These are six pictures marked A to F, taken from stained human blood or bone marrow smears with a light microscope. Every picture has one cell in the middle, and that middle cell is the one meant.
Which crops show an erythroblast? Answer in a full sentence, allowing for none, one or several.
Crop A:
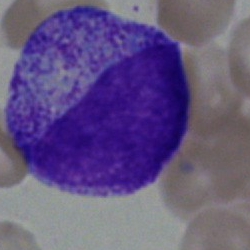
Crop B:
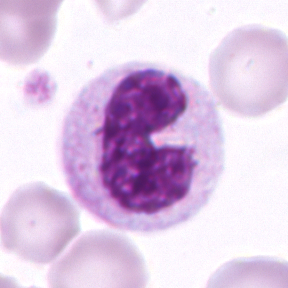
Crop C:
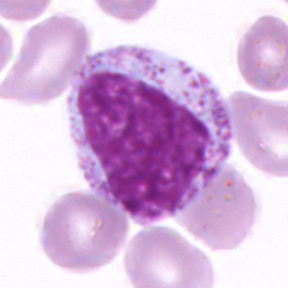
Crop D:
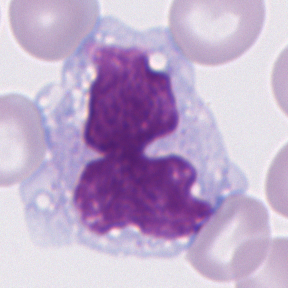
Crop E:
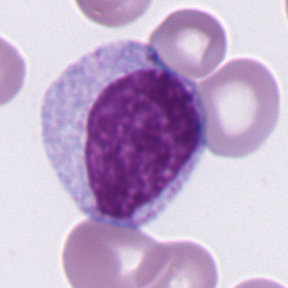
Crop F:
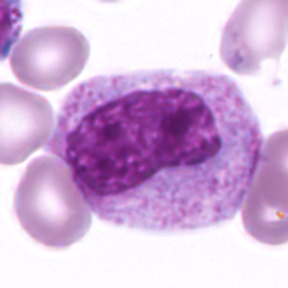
Among these crops, there is not one showing an erythroblast.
